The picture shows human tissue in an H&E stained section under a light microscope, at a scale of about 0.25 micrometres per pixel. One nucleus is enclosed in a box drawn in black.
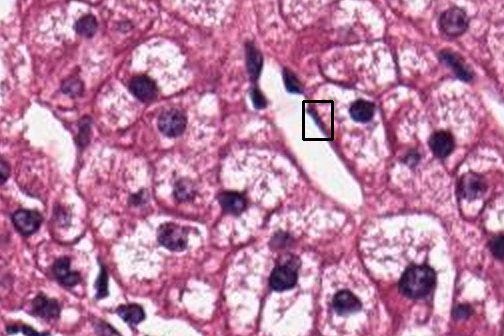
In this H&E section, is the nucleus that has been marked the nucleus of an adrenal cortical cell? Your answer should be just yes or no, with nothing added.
no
